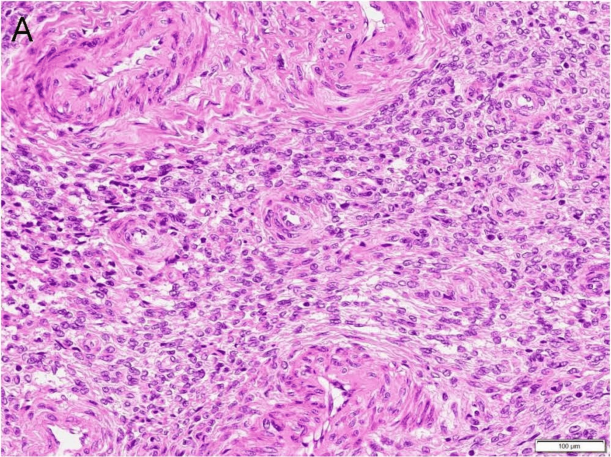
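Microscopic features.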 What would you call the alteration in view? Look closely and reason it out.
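Uniform oval-to-spindle-shaped nuclei. Densely packed cells with small nuclei of similar size. Nuclei range from oval to elongated spindle forms.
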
